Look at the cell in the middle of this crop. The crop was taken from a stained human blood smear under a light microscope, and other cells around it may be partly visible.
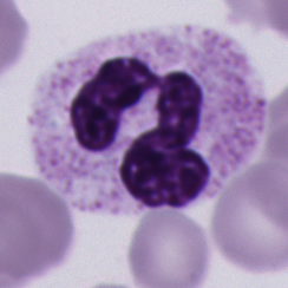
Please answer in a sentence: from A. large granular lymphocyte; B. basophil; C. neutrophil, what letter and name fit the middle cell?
That the central cell is a neutrophil makes option C correct.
